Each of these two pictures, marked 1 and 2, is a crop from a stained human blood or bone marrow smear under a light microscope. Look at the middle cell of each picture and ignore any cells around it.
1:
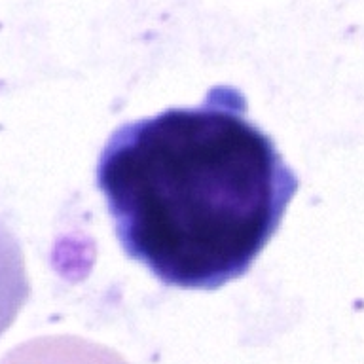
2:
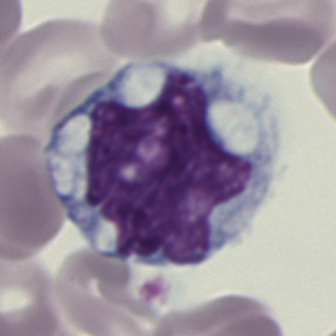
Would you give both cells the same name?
no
